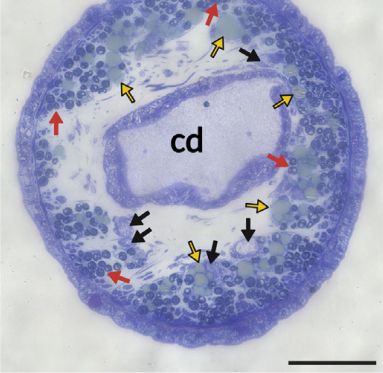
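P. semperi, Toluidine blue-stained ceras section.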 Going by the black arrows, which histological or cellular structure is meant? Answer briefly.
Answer: Fine tubules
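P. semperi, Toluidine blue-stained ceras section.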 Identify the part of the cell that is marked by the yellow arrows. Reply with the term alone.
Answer: lipid droplets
